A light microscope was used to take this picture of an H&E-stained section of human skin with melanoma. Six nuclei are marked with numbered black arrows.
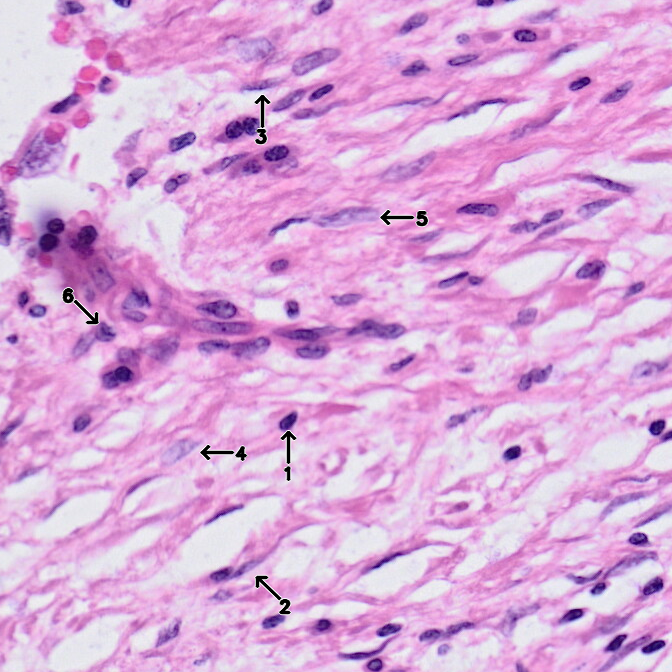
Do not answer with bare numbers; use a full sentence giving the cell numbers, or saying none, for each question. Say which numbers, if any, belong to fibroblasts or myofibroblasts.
The numbers 2, 3, 4 and 5 refer to cells that are fibroblasts or myofibroblasts.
